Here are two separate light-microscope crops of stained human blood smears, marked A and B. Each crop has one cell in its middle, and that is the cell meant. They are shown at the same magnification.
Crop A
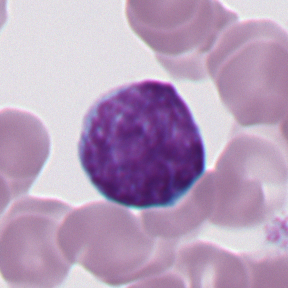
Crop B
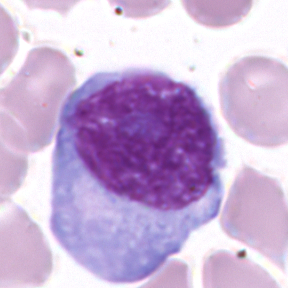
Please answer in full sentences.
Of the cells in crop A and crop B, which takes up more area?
Crop B holds the larger cell; it covers about 2 times the area of the cell in crop A.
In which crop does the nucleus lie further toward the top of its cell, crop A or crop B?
In crop B the nucleus is shifted more toward the top.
